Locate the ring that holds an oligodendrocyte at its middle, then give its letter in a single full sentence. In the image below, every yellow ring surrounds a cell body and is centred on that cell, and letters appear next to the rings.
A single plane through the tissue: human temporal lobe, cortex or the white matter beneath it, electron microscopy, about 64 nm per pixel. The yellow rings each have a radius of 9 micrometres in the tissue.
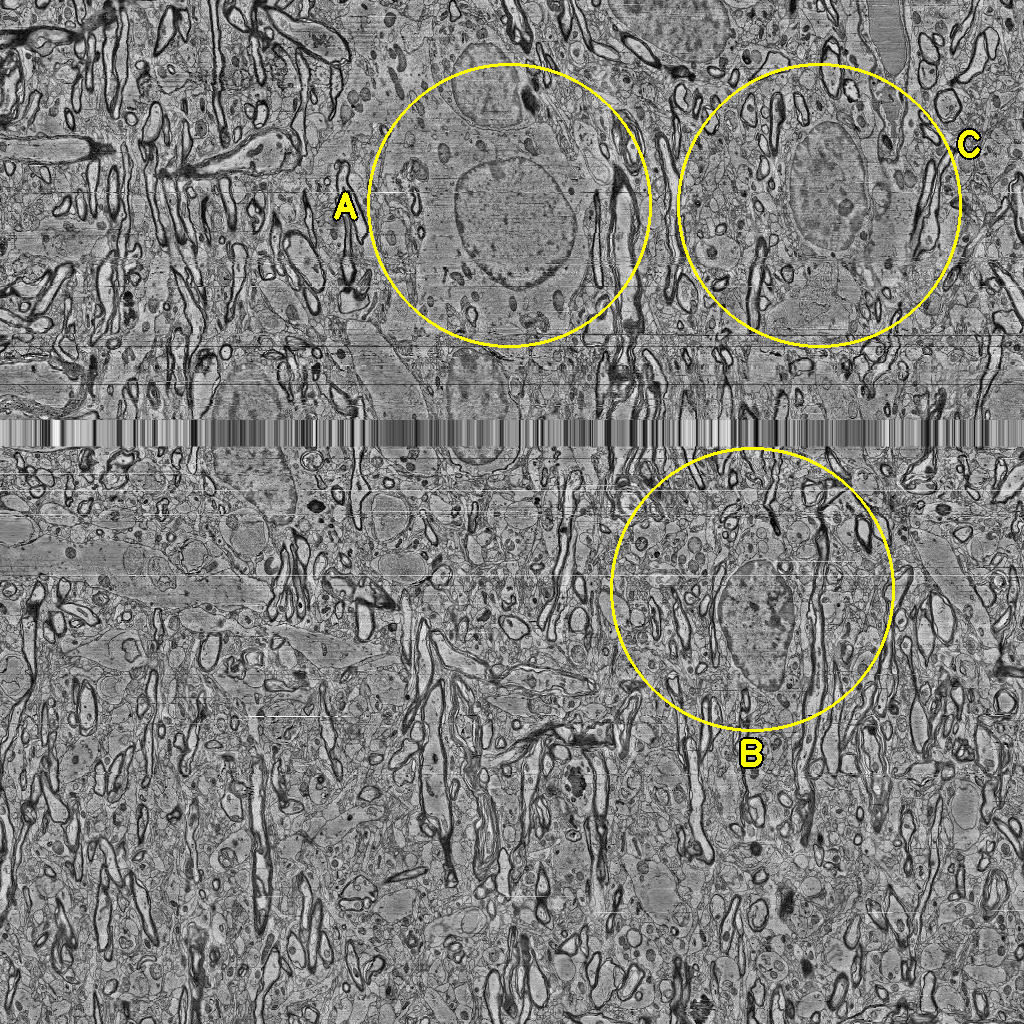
Ring C is the one centred on that kind of cell in the image.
